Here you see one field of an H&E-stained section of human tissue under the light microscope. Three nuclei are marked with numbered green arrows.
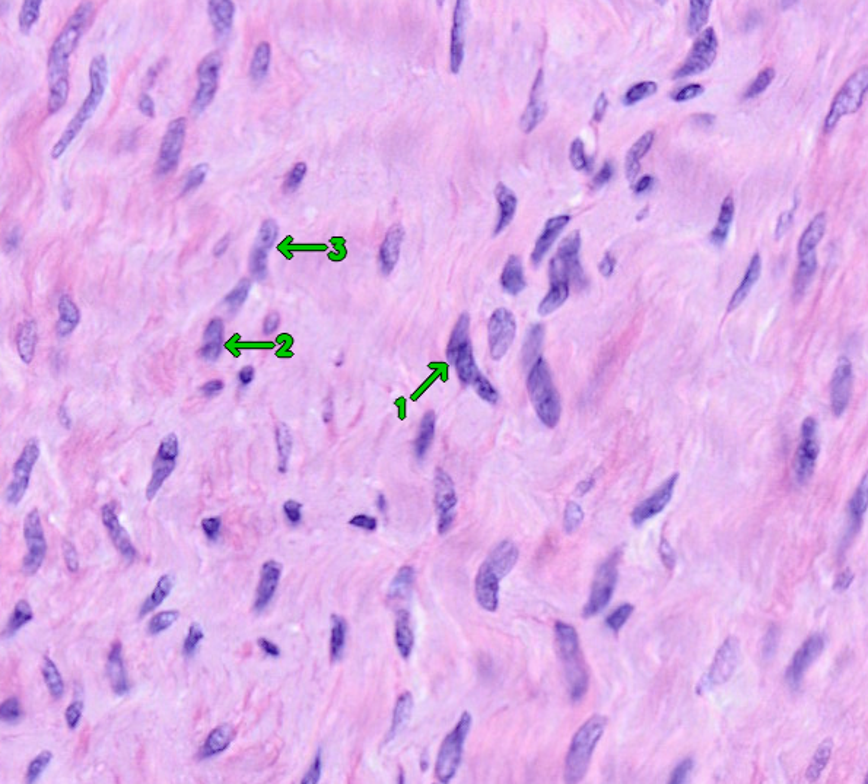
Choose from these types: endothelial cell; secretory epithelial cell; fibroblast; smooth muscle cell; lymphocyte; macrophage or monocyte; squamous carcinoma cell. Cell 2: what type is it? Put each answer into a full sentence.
Belonging to a smooth muscle cell is the nucleus that carries the number 2.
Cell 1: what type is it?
As for number 1, that cell is a fibroblast.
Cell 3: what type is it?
The cell that goes by number 3 is a fibroblast.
